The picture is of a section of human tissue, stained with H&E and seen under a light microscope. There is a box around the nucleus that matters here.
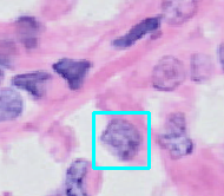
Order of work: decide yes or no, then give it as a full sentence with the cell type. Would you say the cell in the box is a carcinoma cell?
Yes, with respect to cell type, the cell in the box is a carcinoma cell.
